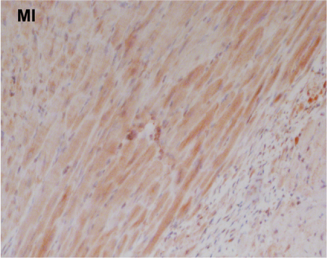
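This section of heart muscle shows cardiomyocytes running as long, parallel fibres diagonally across the field. The fibres are stained light to medium brown throughout their cytoplasm, with some fibres darker than others. Elongated, blue-purple nuclei lie within and between the fibres. Toward the lower right, small round and oval nuclei are more crowded between the fibres, marking infiltrating cells in the tissue. No empty spaces or vessels dominate the field; it is mostly compact muscle.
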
